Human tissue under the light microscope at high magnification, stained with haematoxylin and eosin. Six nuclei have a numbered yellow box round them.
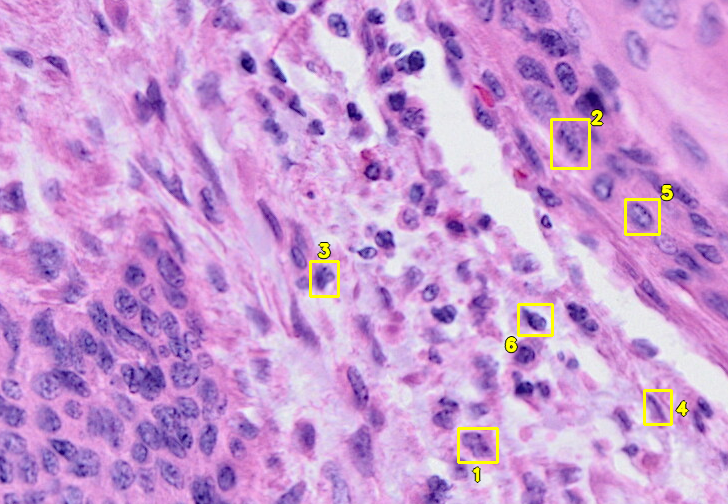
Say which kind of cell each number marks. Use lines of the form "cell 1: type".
cell 1: macrophage or monocyte
cell 2: squamous carcinoma cell
cell 3: lymphocyte
cell 4: fibroblast
cell 5: squamous carcinoma cell
cell 6: lymphocyte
